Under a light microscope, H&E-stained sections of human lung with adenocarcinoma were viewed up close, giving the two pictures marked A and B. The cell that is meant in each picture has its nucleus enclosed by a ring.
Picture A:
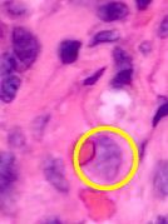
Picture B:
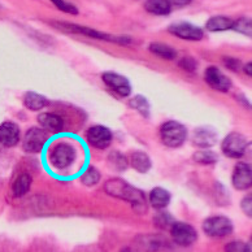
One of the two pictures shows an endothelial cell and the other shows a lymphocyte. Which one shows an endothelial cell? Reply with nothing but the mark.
A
